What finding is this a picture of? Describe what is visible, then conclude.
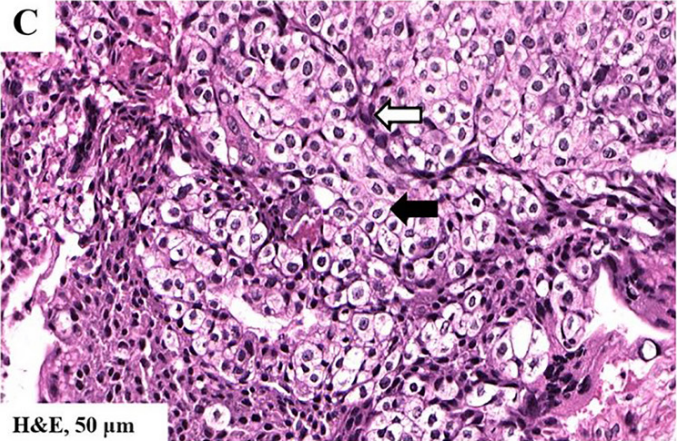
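Nests of pale polygonal cells are present. Strands of darker cells with dense nuclei lie between the nests.
Hence: Biphasic cellular pattern.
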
